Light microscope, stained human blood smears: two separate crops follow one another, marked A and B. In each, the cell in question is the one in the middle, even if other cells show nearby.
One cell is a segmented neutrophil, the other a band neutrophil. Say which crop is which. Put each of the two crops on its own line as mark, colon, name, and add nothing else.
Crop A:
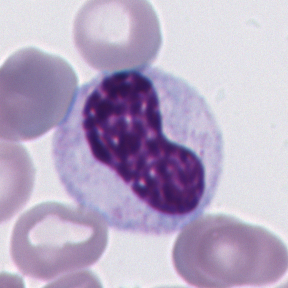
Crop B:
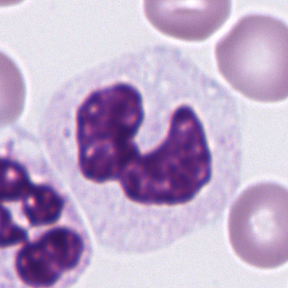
A: band neutrophil
B: segmented neutrophil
